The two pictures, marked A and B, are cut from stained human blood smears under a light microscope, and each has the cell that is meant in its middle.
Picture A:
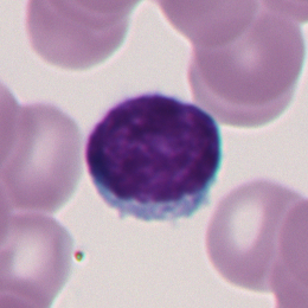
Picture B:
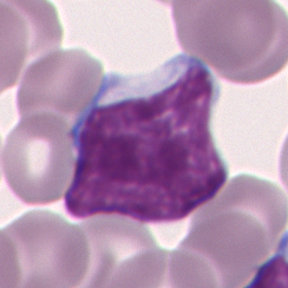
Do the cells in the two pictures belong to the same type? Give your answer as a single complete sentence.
Yes, the two pictures both show typical lymphocytes.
